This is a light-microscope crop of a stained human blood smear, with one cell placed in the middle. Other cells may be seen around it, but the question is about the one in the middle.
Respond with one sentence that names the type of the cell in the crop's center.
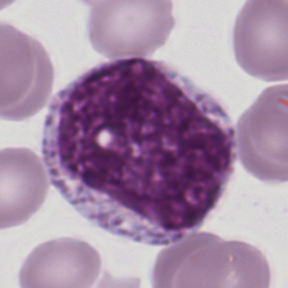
The cell at the central position in this crop is a myelocyte.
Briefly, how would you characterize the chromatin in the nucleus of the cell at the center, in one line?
Its chromatin is clumped in a coarse pattern.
